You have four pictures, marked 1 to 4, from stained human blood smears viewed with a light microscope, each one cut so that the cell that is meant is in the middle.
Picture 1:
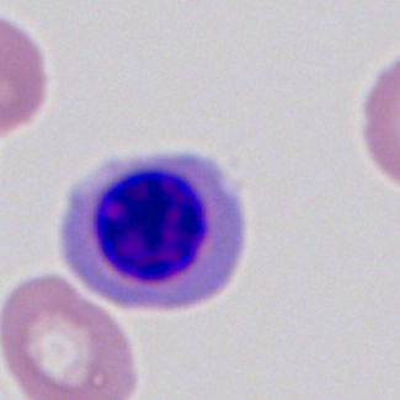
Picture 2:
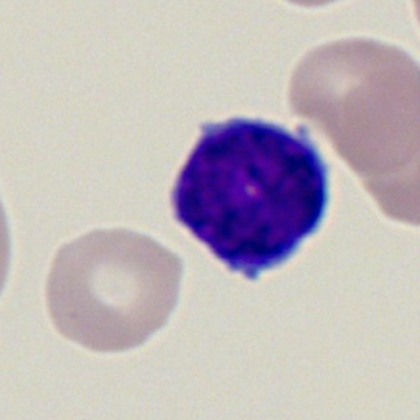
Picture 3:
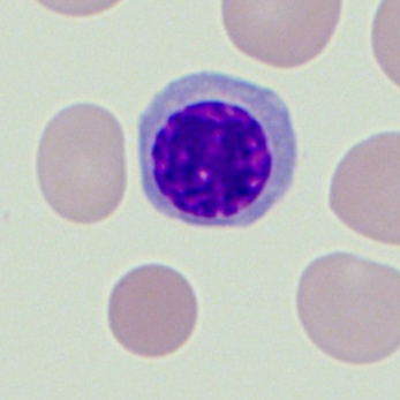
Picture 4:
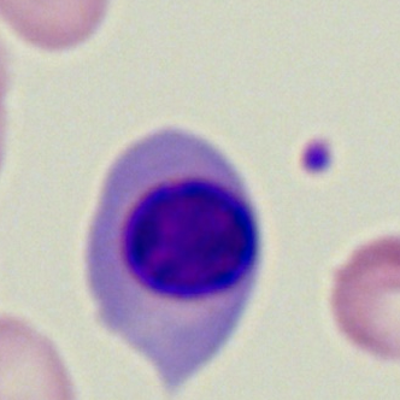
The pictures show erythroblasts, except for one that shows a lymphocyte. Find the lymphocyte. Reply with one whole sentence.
It is picture 2 that shows the lymphocyte.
